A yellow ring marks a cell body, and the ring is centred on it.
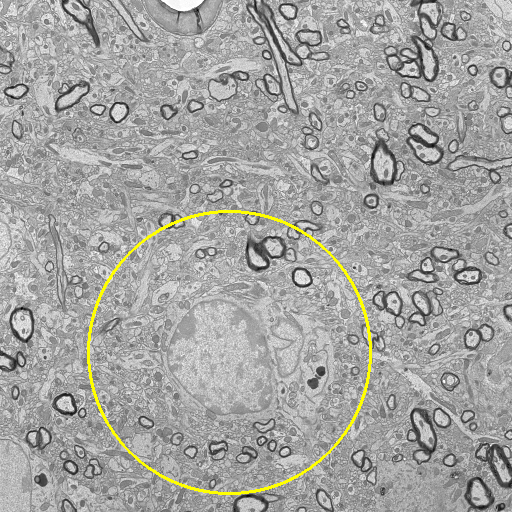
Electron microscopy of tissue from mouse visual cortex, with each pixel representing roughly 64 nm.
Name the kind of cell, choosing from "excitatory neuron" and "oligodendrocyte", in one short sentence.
The marked cell body belongs to an oligodendrocyte.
